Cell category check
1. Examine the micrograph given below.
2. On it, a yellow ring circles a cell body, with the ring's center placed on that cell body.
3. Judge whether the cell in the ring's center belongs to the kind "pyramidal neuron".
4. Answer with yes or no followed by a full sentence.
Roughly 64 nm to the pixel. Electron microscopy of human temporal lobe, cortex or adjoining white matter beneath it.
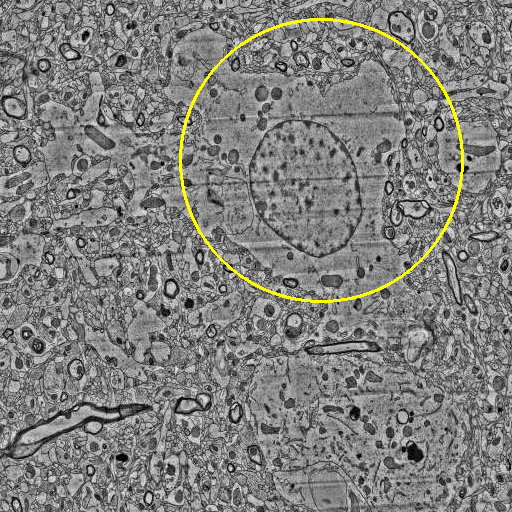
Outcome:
No, the cell found at the ring's center in the micrograph belongs to another kind.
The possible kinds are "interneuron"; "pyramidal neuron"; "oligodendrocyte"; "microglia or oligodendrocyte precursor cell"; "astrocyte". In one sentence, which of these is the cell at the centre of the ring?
What the ring encloses here is an astrocyte.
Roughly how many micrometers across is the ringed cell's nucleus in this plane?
In this plane, the nucleus of the cell at the centre of the ring measures about 9 by 7 micrometres.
